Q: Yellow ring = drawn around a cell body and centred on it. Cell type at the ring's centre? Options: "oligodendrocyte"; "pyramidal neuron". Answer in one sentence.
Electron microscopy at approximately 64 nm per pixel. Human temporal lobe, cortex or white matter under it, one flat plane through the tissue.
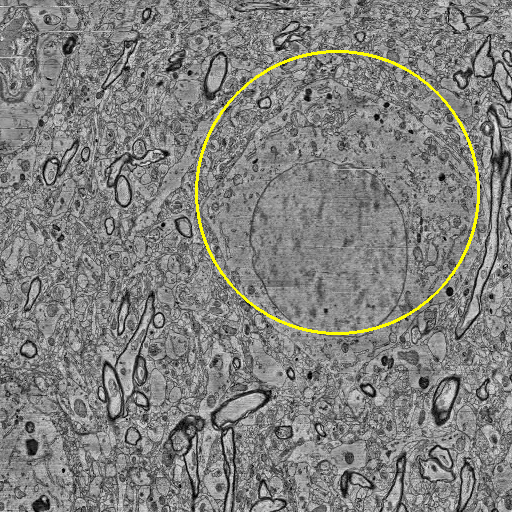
Centred in the ring is a pyramidal neuron.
